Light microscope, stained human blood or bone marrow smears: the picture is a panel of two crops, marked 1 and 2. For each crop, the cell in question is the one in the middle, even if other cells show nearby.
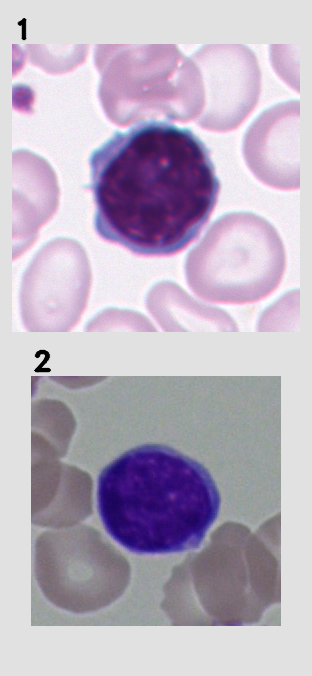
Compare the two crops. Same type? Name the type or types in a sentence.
Yes, they do, both crops show lymphocytes.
